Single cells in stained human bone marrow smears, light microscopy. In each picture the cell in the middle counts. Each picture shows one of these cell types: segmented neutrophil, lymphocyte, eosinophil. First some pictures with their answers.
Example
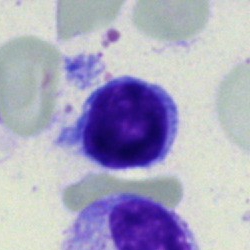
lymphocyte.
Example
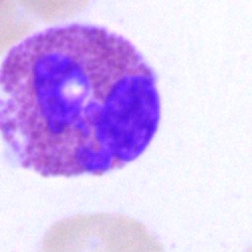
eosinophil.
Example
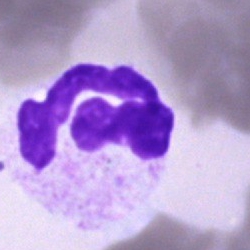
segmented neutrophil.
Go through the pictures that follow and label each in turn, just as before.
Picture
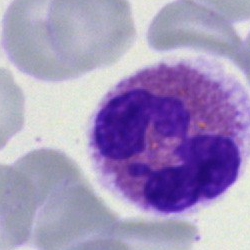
eosinophil.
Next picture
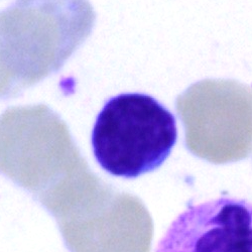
lymphocyte.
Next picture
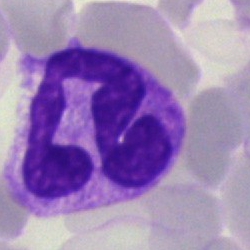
segmented neutrophil.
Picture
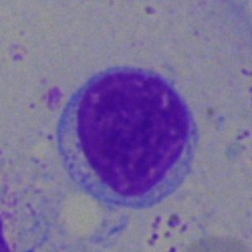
lymphocyte.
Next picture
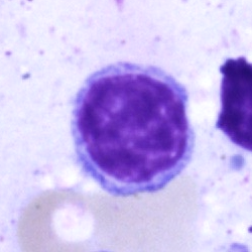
lymphocyte.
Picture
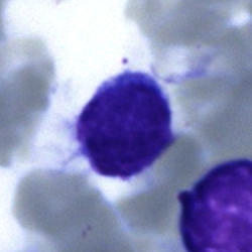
lymphocyte.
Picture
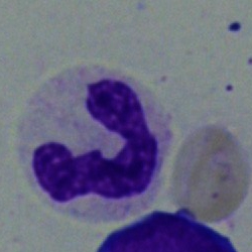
segmented neutrophil.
